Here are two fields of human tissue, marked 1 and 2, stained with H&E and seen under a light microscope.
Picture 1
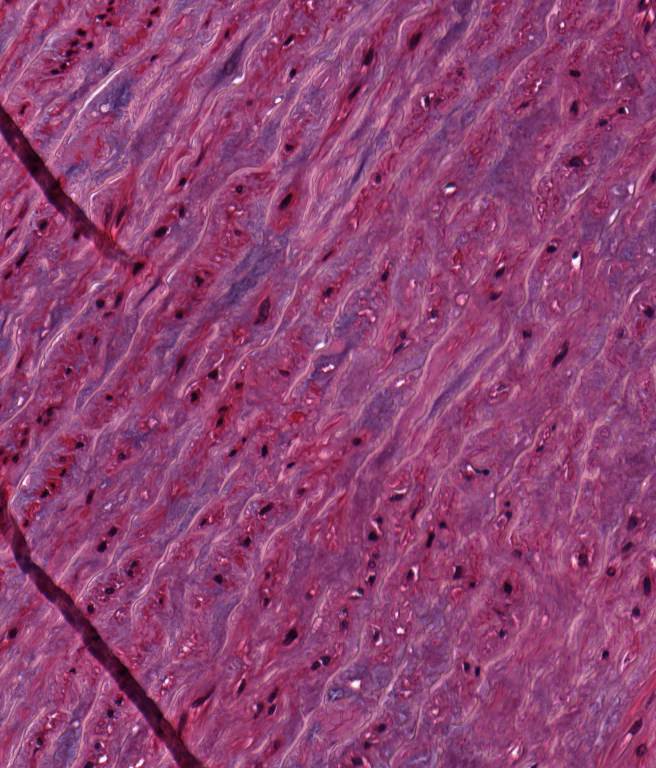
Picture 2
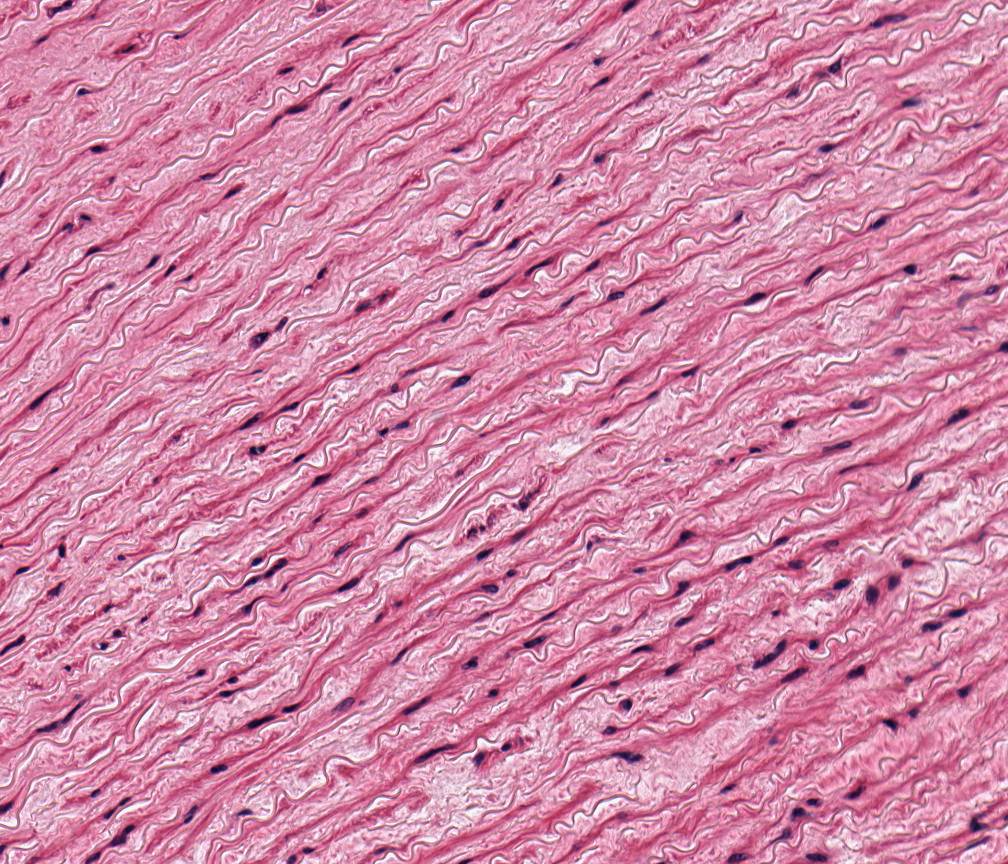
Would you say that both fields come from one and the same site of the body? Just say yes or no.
yes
